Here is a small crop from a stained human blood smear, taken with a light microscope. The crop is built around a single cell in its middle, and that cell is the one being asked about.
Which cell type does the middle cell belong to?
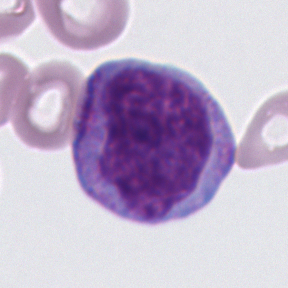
atypical promyelocyte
